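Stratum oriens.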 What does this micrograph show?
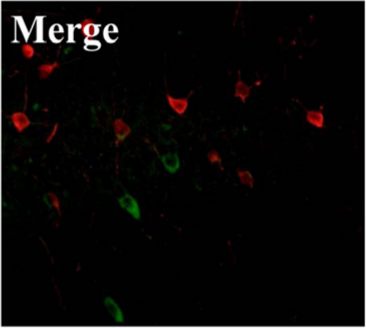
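This hippocampal field shows sparse interneurons with triangular to rounded cell bodies and slender processes, many of them red and lying in a loose band across the upper part of the field. A separate set of cell bodies, lower in the field, is green. None of the red cells appears yellow; the red and green cells are distinct, with no overlap in the same cell body. The two labels thus mark different, non-overlapping groups of interneurons.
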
